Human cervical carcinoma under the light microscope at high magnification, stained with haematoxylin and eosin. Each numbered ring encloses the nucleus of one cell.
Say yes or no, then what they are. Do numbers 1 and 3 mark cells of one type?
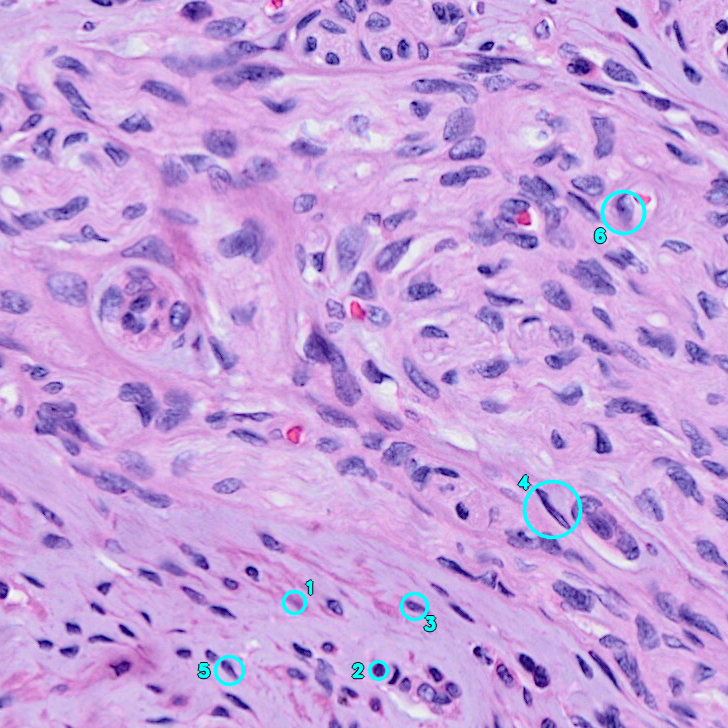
Yes, cell 1 and cell 3 are both smooth muscle cells.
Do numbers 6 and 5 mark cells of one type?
No, mate, cell 6 is an endothelial cell and cell 5 is a fibroblast.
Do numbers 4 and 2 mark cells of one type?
No, not so; cell 4 is a fibroblast and cell 2 is a smooth muscle cell.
